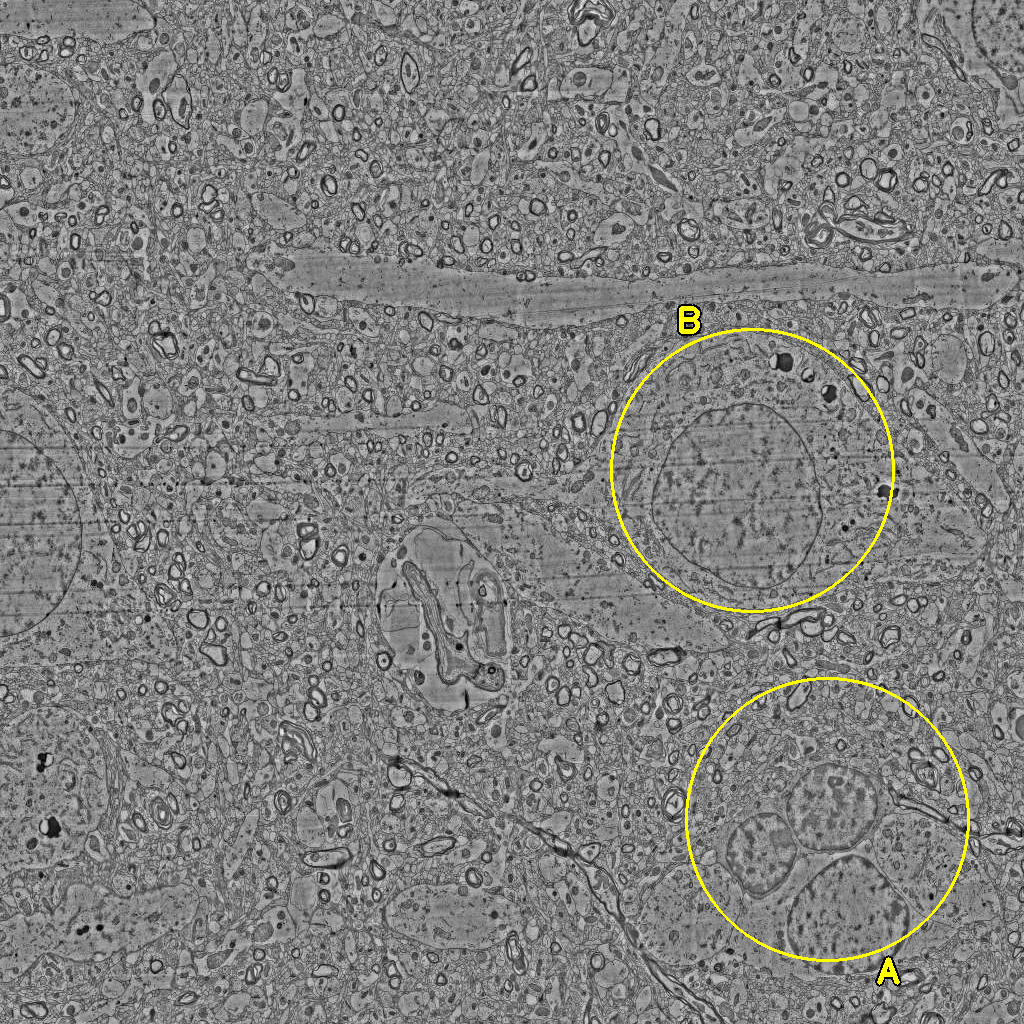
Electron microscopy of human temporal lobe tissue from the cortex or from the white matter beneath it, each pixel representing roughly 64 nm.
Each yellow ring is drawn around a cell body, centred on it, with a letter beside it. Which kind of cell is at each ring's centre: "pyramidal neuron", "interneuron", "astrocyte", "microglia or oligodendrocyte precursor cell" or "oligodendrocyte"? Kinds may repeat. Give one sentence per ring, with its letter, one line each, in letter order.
Ring A is centred on an oligodendrocyte.
Ring B is centred on a pyramidal neuron.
